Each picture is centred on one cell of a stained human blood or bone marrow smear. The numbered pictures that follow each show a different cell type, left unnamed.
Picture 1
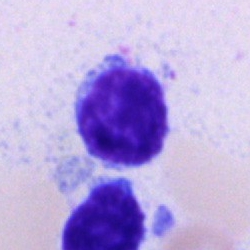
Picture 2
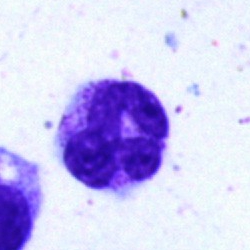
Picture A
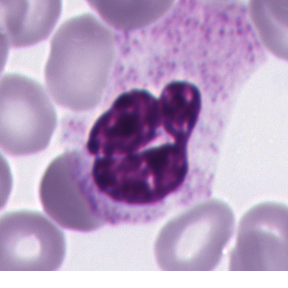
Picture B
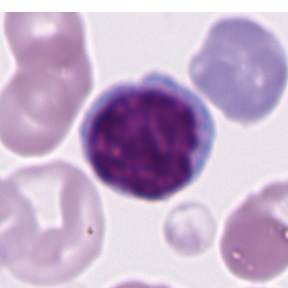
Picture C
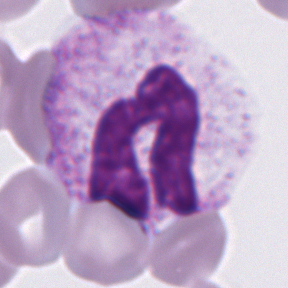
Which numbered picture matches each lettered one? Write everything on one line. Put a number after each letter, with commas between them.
A 2, B 1, C 2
